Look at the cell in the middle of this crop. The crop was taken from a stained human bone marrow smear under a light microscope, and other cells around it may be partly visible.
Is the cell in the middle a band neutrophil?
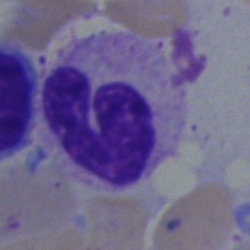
yes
